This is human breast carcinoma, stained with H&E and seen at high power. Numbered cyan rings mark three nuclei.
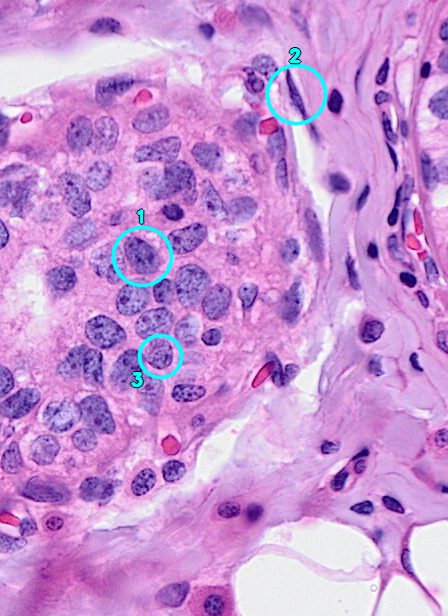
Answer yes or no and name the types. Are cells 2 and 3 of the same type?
No, cell 2 is a fibroblast and cell 3 is a carcinoma cell.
